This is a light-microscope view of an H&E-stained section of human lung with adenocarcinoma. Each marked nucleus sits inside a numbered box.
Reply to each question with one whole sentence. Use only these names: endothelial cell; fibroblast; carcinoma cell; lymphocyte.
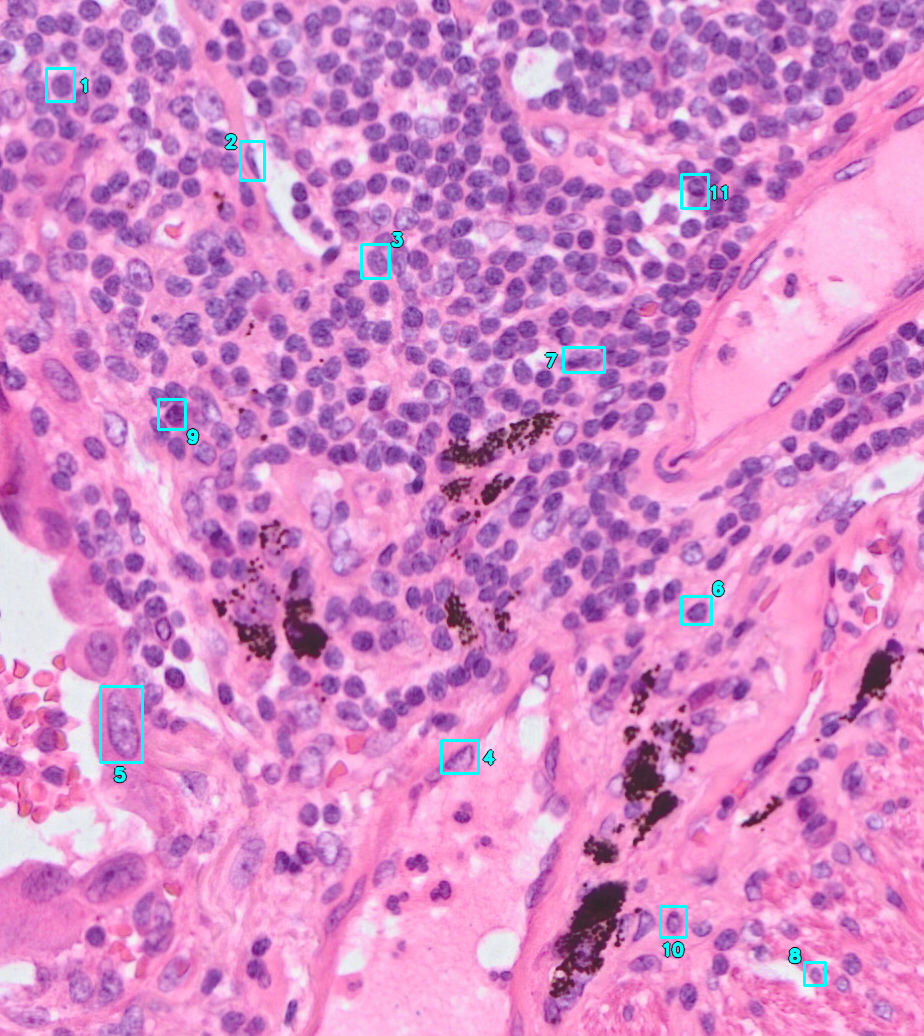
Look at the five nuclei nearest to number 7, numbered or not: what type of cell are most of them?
Of the five nuclei nearest to number 7, most belong to lymphocytes.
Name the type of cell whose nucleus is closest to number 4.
The nucleus nearest to number 4 is that of an endothelial cell.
